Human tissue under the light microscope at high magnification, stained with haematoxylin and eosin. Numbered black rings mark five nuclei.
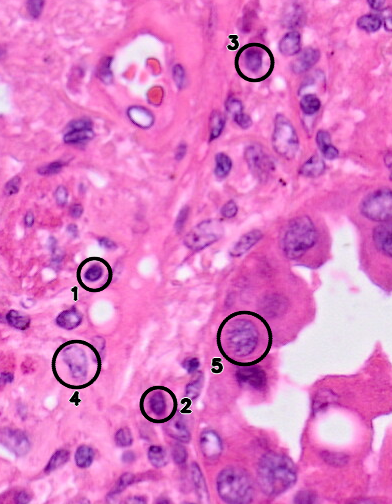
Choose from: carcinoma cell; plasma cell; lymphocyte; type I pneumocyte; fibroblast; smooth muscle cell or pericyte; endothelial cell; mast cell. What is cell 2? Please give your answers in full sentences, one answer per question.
The cell tagged with 2 in this tissue section is a plasma cell.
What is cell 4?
The marked nucleus 4 is that of a fibroblast.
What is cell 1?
Cell 1 is classified as a lymphocyte.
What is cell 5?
The cell indicated with the number 5 is classed as a carcinoma cell.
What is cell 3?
The cell that is numbered 3 is a plasma cell.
